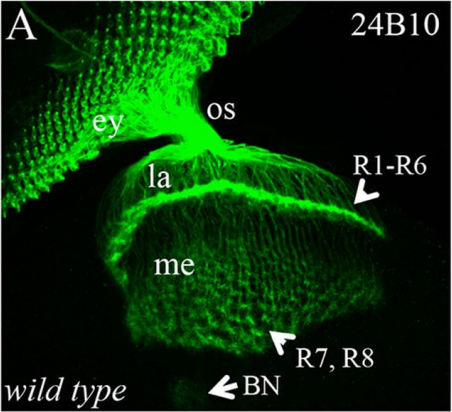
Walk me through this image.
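A larval eye disc joined to the brain lobe, with photoreceptor cells in green arranged as regularly spaced clusters across the eye disc. Their axons gather at the back of the disc into a tight bundle that runs through the optic stalk into the brain. Inside the optic lobe one set of axons ends in a bright continuous band in the lamina, while others pass on into the deeper medulla, where their endings form a regular array of dots. A thin separate nerve is faintly seen below the medulla.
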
